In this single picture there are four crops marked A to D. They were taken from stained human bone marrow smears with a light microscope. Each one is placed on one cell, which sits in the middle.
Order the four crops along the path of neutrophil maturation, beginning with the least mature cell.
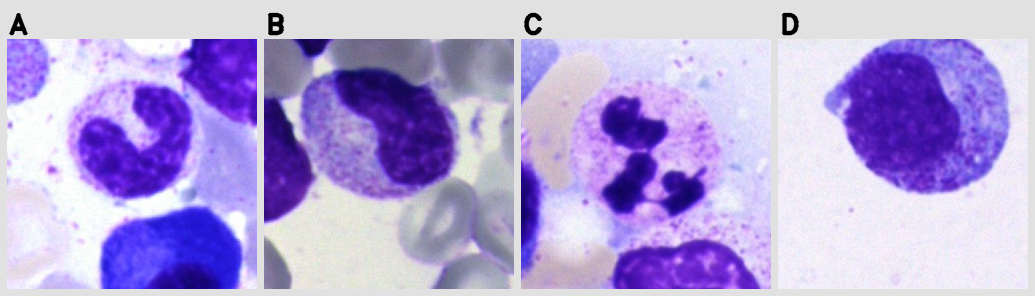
D, B, A, C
